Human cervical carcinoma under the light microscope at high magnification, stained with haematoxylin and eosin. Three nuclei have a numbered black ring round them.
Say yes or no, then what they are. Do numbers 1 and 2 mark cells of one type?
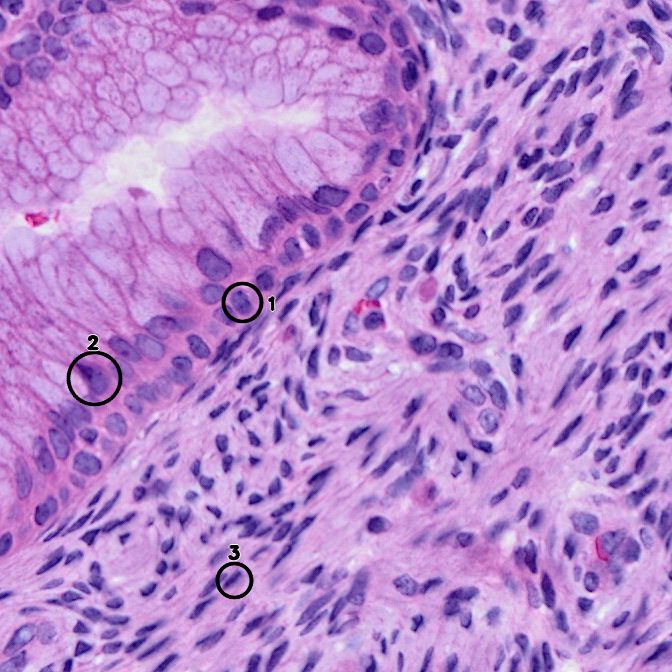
Yes, cell 1 is one of the secretory epithelial cells, and so is cell 2.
